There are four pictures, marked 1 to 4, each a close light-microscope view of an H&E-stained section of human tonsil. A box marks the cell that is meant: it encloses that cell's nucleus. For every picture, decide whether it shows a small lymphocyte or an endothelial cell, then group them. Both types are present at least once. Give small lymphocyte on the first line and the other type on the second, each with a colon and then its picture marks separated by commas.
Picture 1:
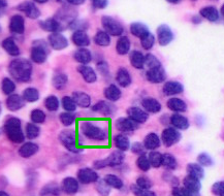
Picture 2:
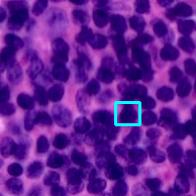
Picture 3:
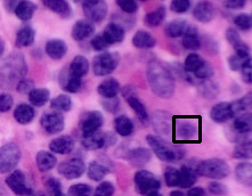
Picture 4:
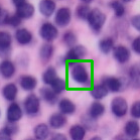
small lymphocyte: 1, 2, 4
endothelial cell: 3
